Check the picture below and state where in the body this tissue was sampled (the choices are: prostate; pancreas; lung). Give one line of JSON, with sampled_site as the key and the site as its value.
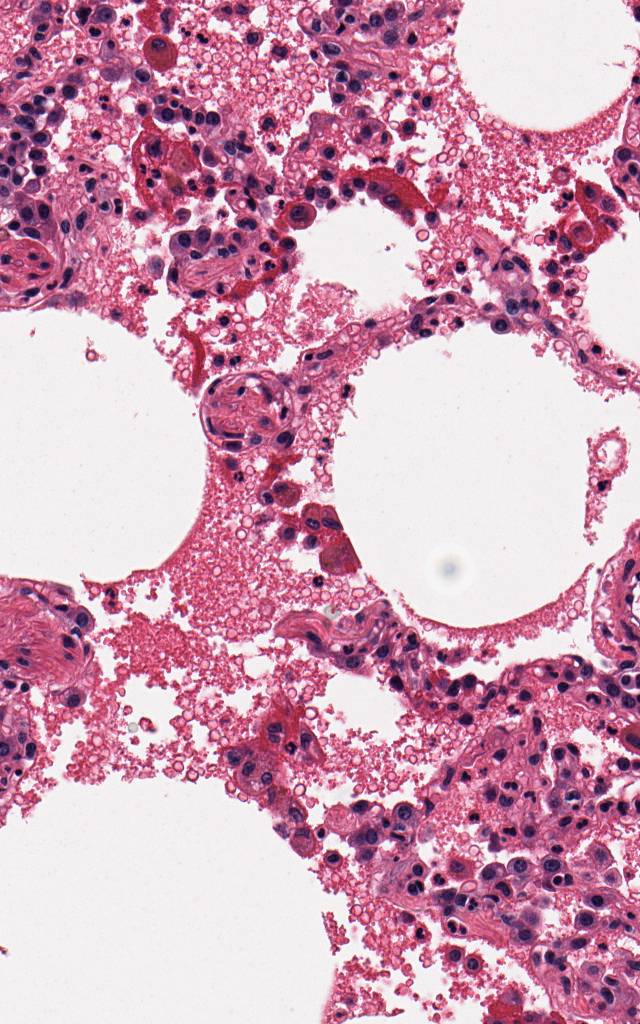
{"sampled_site": "lung"}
